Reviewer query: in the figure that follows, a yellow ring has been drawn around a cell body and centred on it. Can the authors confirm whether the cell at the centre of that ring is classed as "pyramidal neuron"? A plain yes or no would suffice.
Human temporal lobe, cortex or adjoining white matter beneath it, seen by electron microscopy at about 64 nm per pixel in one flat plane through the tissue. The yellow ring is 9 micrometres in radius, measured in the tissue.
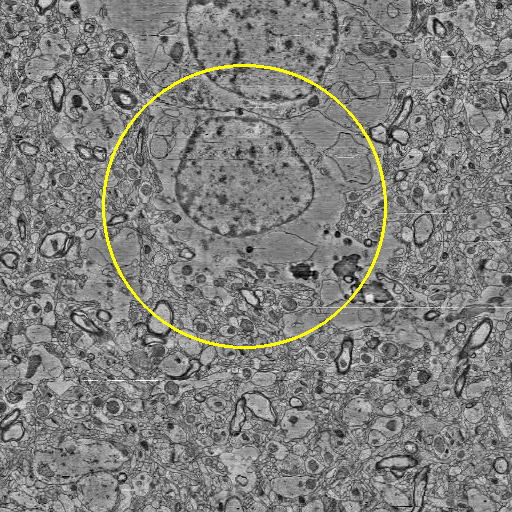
no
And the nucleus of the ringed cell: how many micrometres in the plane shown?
In this plane, the nucleus of the cell at the centre of the ring is about 8 micrometres across.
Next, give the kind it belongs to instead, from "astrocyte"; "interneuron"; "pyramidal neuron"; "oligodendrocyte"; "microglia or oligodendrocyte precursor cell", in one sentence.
The cell shown in the ring is an astrocyte.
